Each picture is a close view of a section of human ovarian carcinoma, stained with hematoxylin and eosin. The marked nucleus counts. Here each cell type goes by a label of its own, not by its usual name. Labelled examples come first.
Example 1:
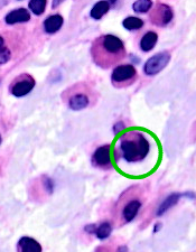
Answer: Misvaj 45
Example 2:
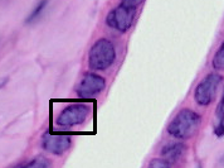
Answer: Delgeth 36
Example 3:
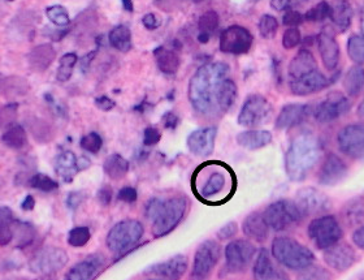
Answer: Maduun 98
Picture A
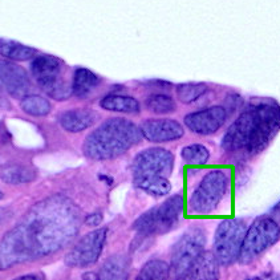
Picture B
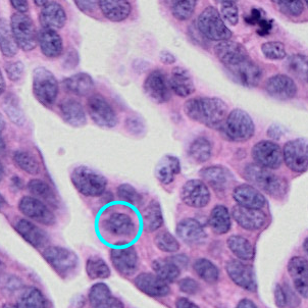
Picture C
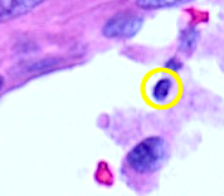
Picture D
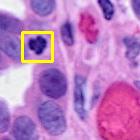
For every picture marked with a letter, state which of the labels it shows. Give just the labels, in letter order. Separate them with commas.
Delgeth 36, Delgeth 36, Misvaj 45, Misvaj 45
